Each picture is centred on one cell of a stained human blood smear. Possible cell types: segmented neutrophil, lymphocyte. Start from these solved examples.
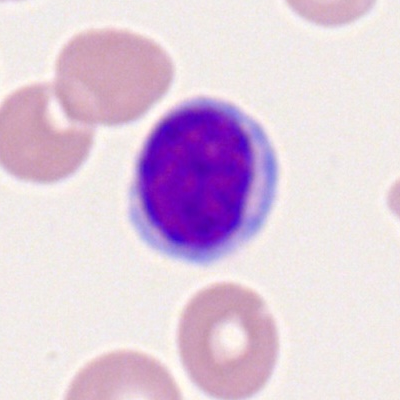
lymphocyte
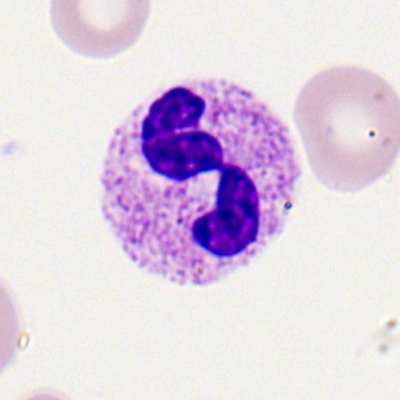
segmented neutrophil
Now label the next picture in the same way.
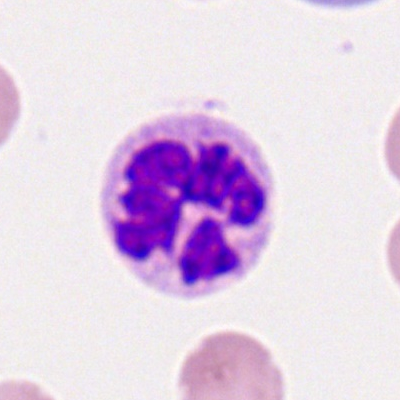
segmented neutrophil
